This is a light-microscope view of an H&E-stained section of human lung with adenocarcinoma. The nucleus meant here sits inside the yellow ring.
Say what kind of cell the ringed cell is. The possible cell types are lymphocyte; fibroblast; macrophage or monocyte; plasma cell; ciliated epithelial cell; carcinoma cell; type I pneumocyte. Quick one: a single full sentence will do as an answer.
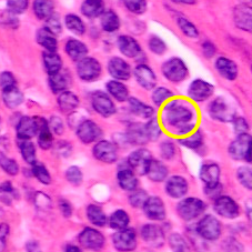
Labelled by cell type, the ringed cell is a lymphocyte.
